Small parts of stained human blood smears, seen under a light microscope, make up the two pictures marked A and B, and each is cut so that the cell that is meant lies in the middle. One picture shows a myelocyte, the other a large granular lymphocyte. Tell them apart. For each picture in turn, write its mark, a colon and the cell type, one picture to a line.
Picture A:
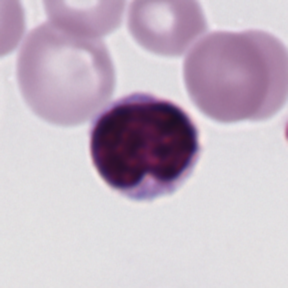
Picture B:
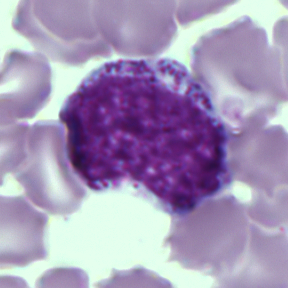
A: large granular lymphocyte
B: myelocyte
